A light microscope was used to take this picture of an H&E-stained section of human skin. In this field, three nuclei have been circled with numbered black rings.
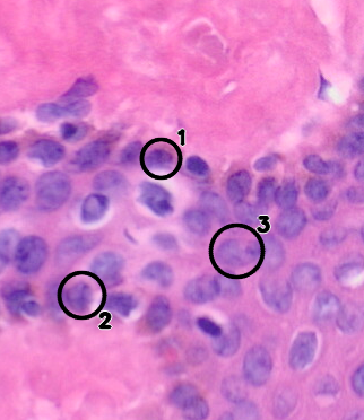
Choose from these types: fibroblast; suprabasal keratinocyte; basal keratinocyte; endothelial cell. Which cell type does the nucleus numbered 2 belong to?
basal keratinocyte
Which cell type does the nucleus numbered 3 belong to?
suprabasal keratinocyte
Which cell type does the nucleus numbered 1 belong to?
basal keratinocyte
